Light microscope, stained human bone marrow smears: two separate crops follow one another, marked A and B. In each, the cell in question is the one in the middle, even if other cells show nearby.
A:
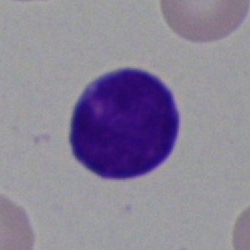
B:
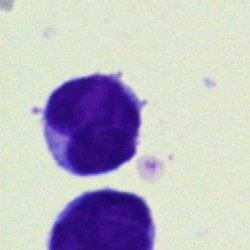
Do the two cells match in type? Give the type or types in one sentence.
No, a blast is centred in crop A, and a lymphocyte is centred in crop B.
